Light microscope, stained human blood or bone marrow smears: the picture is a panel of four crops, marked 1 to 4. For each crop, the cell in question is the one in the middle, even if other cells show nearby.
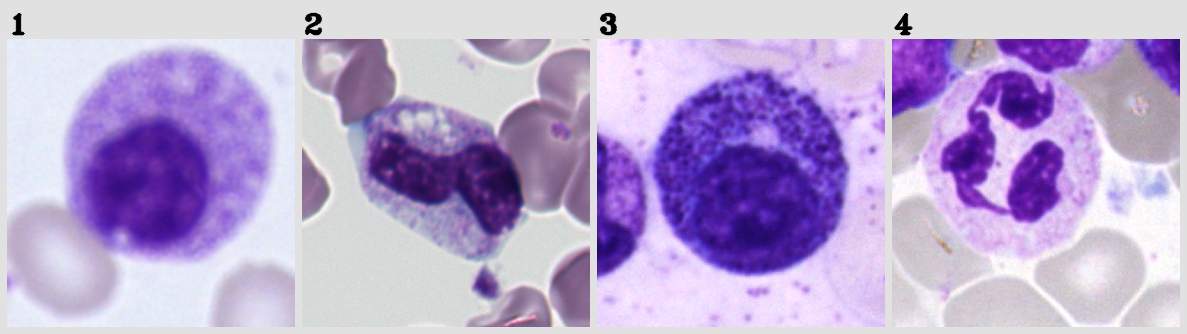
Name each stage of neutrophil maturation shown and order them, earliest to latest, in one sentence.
The proper maturity order, starting from the least mature, is crop 3 (a promyelocyte), crop 1 (a myelocyte), crop 2 (a band neutrophil) and crop 4 (a segmented neutrophil).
